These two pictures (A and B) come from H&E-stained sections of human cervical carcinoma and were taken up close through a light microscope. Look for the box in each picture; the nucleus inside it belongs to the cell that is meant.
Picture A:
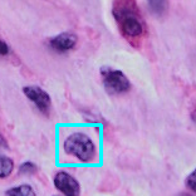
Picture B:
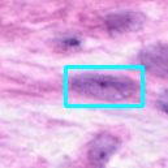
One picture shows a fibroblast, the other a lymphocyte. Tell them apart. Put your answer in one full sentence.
Picture B shows a fibroblast, while picture A shows a lymphocyte.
